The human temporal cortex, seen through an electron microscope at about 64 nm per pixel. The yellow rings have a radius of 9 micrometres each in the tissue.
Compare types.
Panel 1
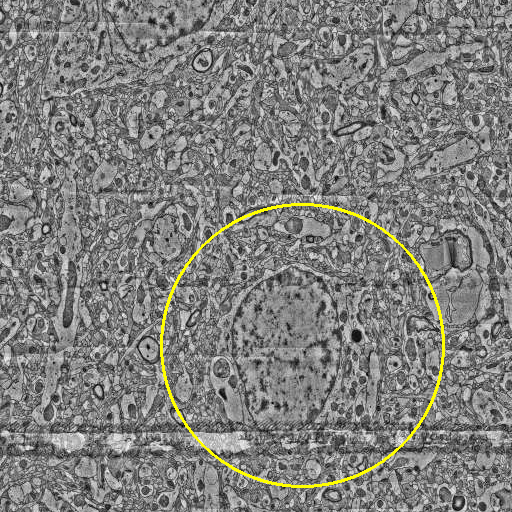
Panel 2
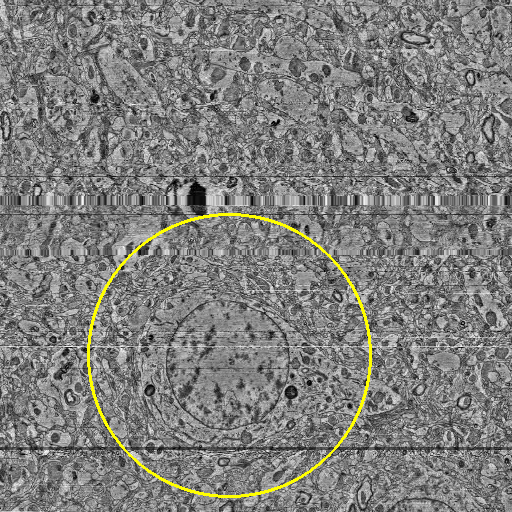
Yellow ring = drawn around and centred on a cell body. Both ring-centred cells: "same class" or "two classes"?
two classes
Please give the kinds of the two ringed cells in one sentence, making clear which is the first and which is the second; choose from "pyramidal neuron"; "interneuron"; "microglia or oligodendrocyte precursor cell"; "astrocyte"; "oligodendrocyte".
In the second picture the ringed cell is a pyramidal neuron; in the first it is an interneuron.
